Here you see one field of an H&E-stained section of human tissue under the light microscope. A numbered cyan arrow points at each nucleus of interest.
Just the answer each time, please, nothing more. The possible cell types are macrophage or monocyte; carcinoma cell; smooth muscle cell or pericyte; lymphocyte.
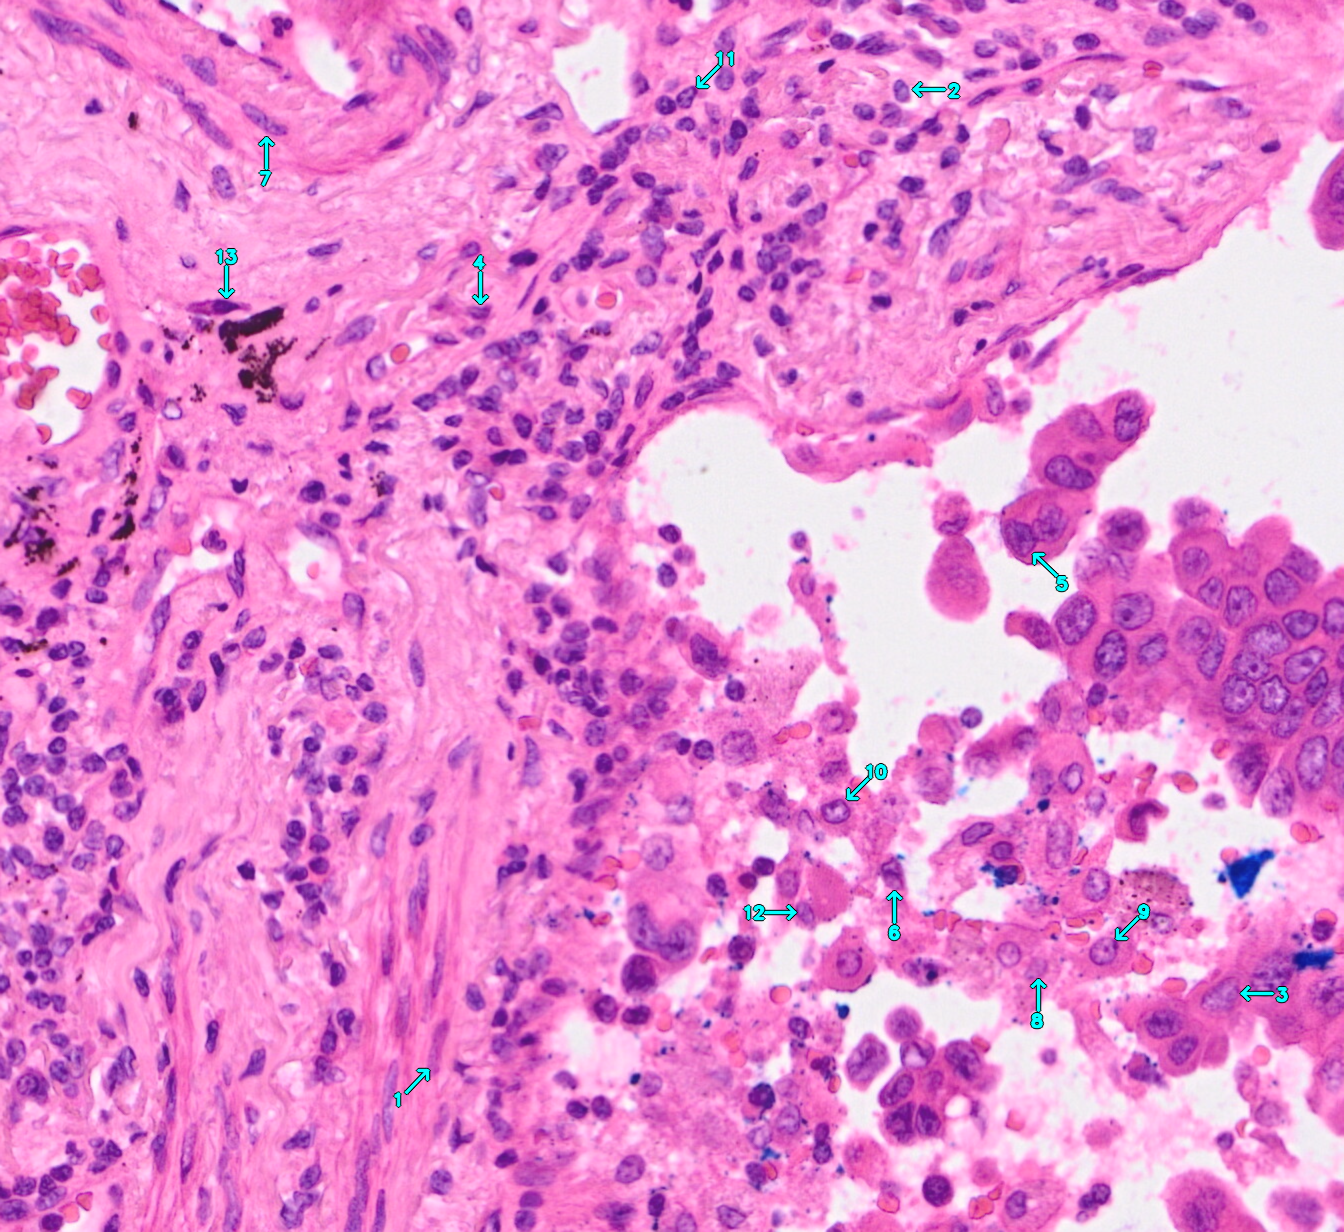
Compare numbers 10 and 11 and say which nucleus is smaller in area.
11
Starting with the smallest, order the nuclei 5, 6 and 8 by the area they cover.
8, 6, 5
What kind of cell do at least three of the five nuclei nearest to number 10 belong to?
macrophage or monocyte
